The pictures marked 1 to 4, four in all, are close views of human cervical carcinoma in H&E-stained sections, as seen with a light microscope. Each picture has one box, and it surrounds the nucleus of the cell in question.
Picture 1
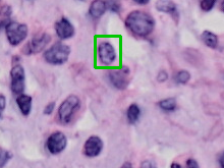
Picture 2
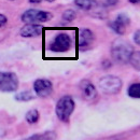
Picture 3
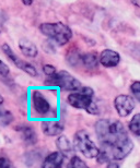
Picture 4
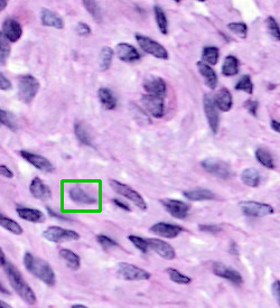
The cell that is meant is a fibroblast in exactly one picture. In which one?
4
